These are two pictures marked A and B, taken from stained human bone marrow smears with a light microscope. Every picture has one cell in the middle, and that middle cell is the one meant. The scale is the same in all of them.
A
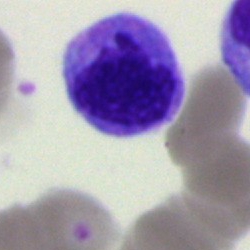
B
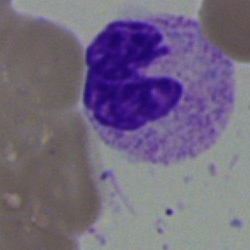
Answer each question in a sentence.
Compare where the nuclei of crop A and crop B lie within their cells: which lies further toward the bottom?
Seen within its cell, the nucleus in crop A lies further toward the bottom.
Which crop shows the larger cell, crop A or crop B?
The cell in crop B is larger, with about 1.5 times the area of the one in crop A.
